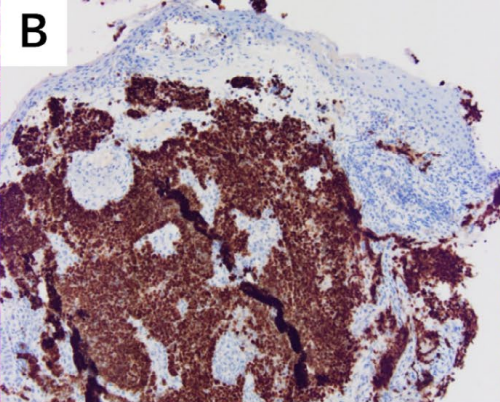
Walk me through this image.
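This low-power view shows a tumor lying beneath a covering squamous epithelium. The surface epithelium along the top is pale blue and unstained. Below it, a large, solid mass of tumor cells is stained a deep brown, with a fine granular, nuclear-looking pattern. The brown tumor tissue is broken into nests and lobules by pale blue strands of stroma.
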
